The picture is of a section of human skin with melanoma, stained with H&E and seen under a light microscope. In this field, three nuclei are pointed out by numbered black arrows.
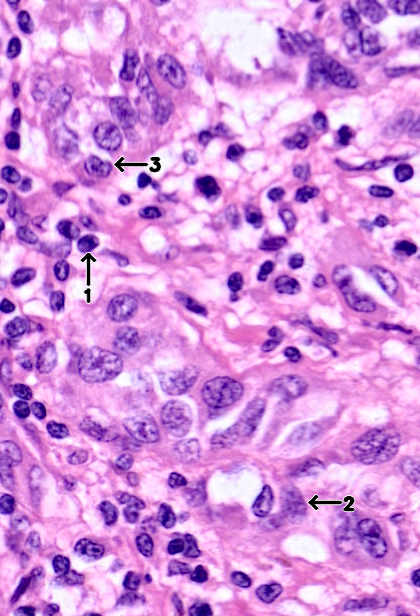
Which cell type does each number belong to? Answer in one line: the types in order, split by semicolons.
lymphocyte; melanoma cell; melanoma cell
